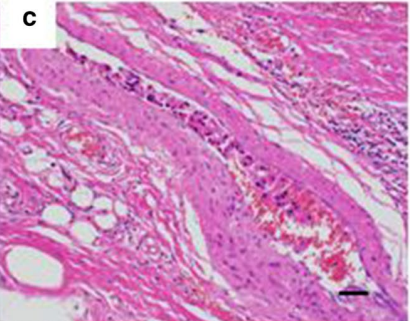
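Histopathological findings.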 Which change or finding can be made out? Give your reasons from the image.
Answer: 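A vessel containing red blood cells runs through fibrous tissue.
Answer: Vascular invasion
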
